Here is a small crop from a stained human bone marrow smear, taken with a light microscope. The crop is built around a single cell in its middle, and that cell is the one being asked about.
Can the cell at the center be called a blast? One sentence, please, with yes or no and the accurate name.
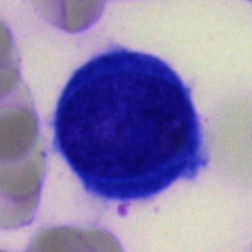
Yes, a blast is the cell positioned in the middle of the field.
